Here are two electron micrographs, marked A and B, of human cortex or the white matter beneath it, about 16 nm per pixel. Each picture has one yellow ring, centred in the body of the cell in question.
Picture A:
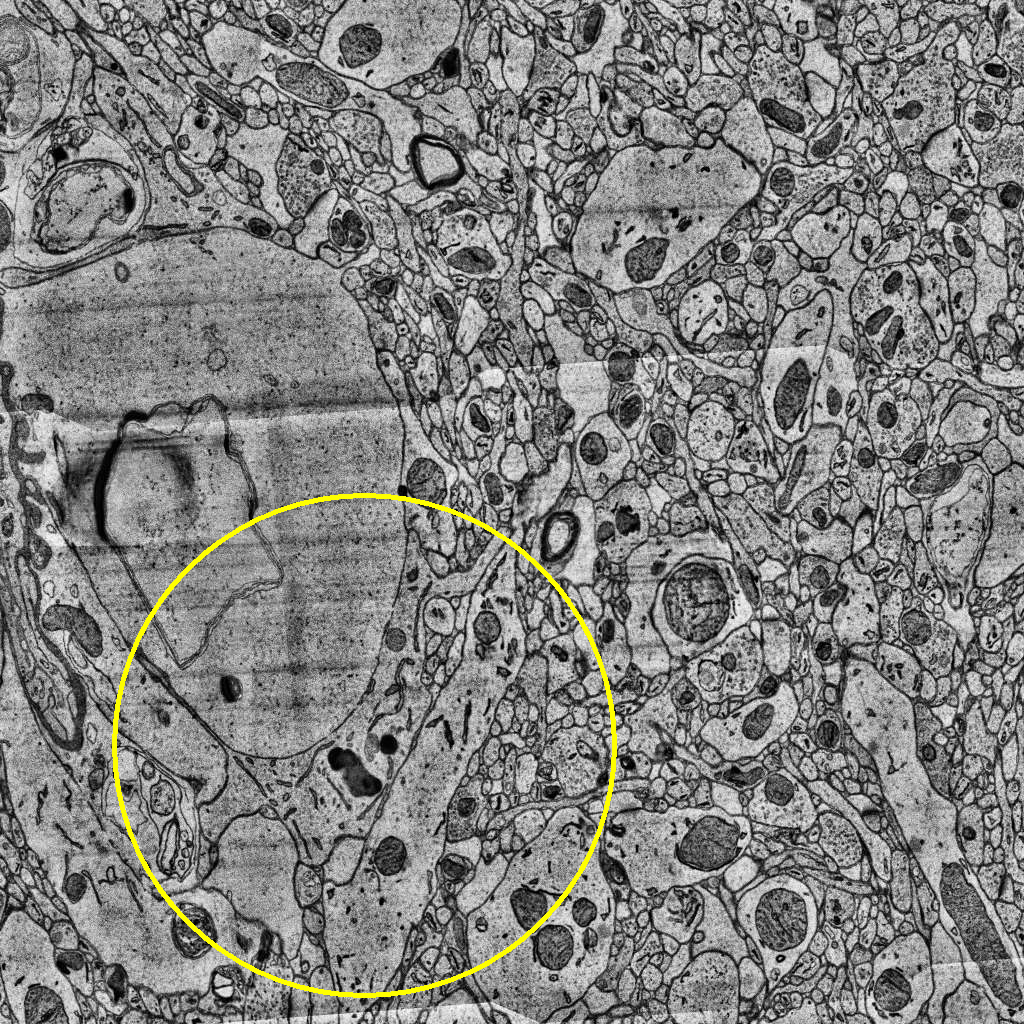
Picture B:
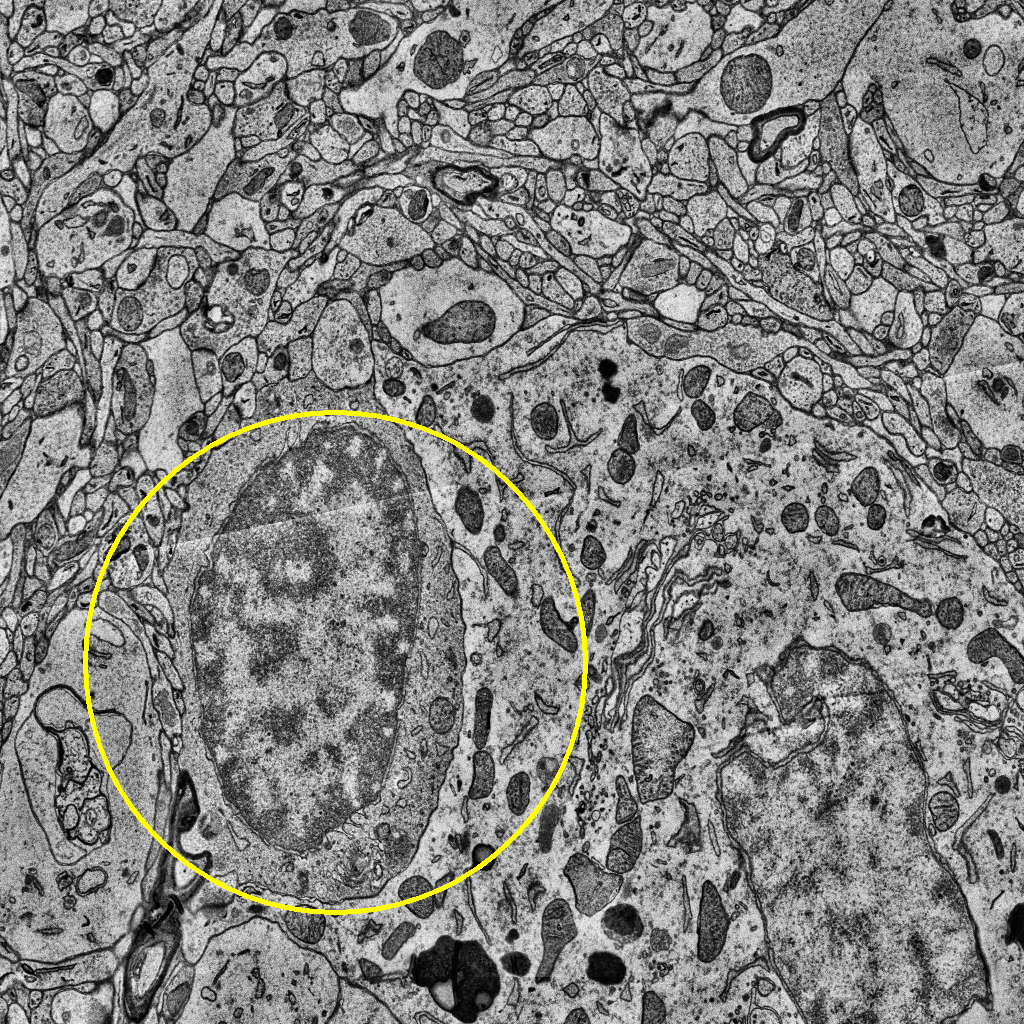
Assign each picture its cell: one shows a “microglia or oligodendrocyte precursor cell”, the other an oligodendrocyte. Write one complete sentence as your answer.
Picture A is of a “microglia or oligodendrocyte precursor cell”, and picture B is of an oligodendrocyte.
